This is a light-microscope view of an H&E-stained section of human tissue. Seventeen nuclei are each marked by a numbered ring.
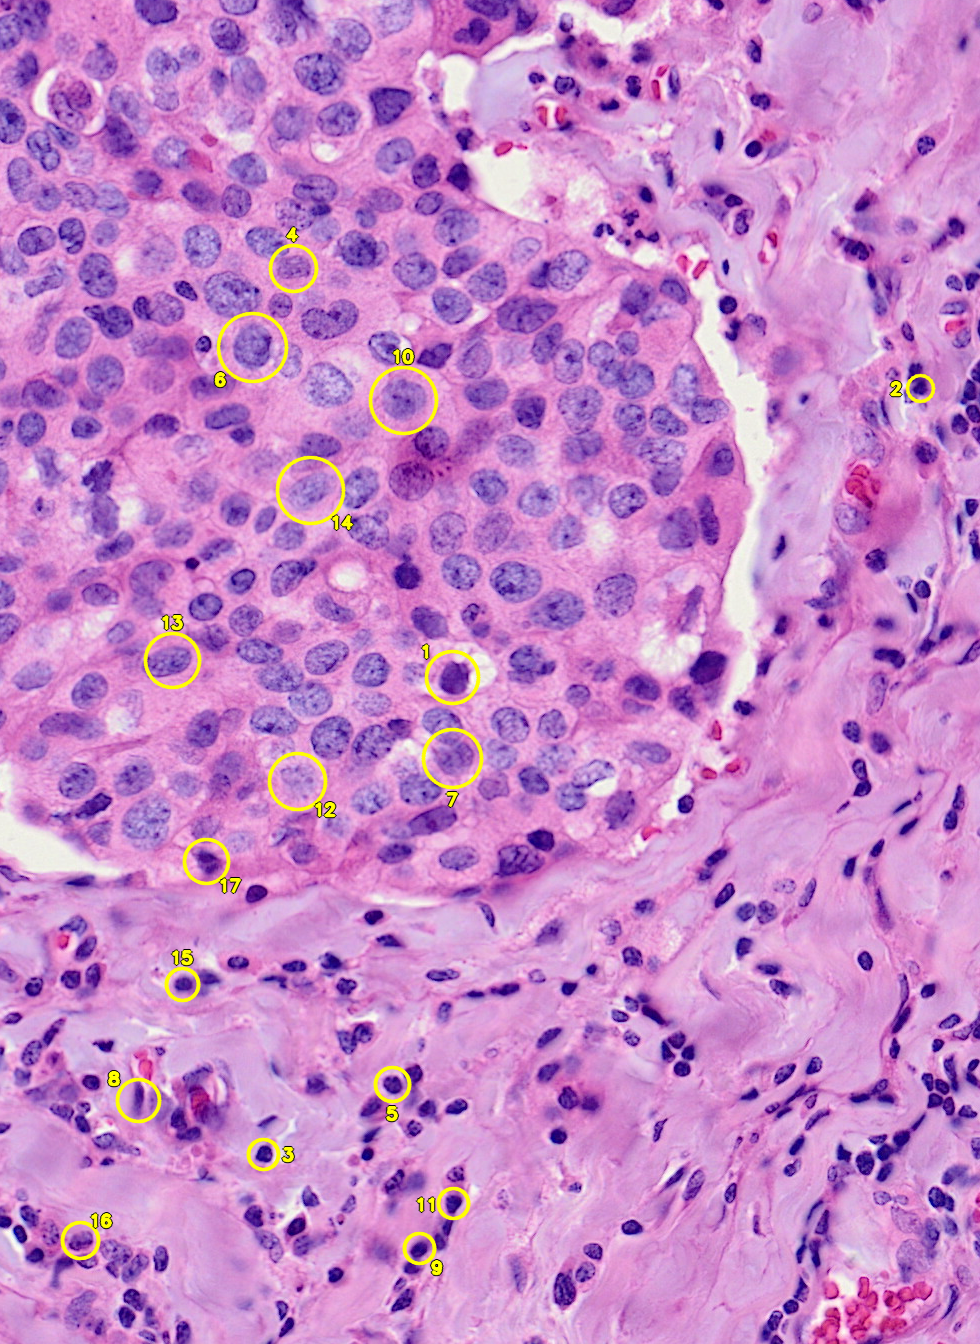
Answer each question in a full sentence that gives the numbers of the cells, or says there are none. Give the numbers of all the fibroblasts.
Without exception, the numbered cells are not fibroblasts.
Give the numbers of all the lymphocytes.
Identification: the cells with numbers 2, 3, 5, 9, 11, 15 and 16 are lymphocytes.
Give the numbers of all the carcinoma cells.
The cells with the numbers 1, 4, 6, 7, 10, 12, 13, 14 and 17 are carcinoma cells.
